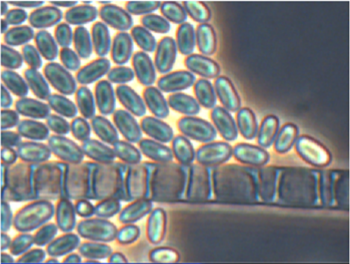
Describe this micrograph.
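Spore and stalk cells of a fruiting structure: above lie many uniform, smooth oval spores with bright refractile rims, loosely packed side by side. Across the middle runs the stalk, a tube partitioned by regular cross walls into a single file of box-shaped stalk cells.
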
